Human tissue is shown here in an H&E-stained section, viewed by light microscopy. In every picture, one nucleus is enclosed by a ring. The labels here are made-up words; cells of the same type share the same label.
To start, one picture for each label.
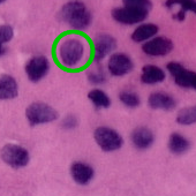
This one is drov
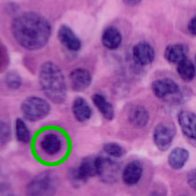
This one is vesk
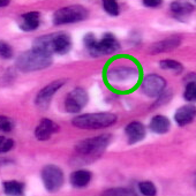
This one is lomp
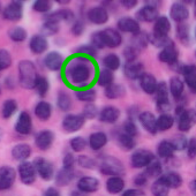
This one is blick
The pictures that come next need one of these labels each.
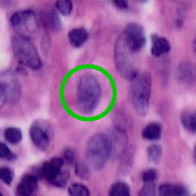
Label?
lomp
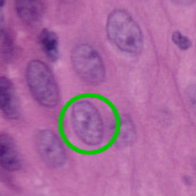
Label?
drov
